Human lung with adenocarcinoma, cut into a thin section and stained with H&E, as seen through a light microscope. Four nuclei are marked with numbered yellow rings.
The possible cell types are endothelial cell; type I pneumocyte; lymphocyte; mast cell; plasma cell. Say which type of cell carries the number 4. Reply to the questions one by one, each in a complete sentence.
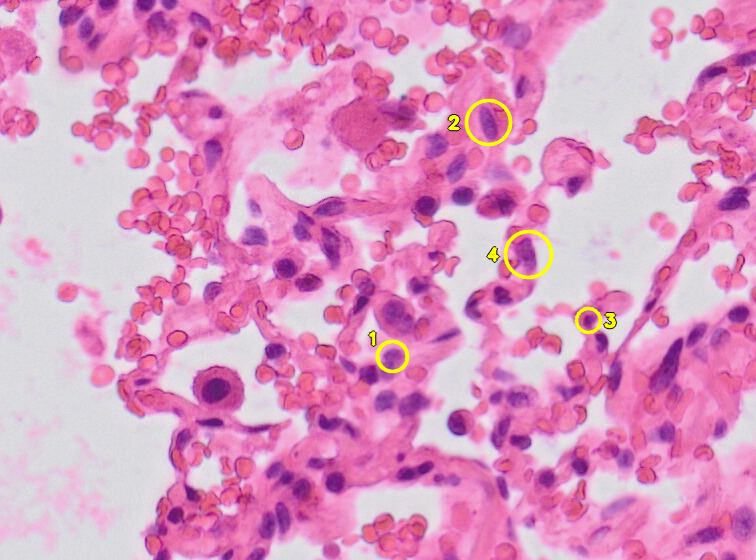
The nucleus with number 4 is that of a type I pneumocyte.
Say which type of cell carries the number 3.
The nucleus marked 3 is the nucleus of an endothelial cell.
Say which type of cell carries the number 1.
The cell assigned the number 1 is a type I pneumocyte.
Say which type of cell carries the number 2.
Numbered cell 2 is a type I pneumocyte in this tissue section.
